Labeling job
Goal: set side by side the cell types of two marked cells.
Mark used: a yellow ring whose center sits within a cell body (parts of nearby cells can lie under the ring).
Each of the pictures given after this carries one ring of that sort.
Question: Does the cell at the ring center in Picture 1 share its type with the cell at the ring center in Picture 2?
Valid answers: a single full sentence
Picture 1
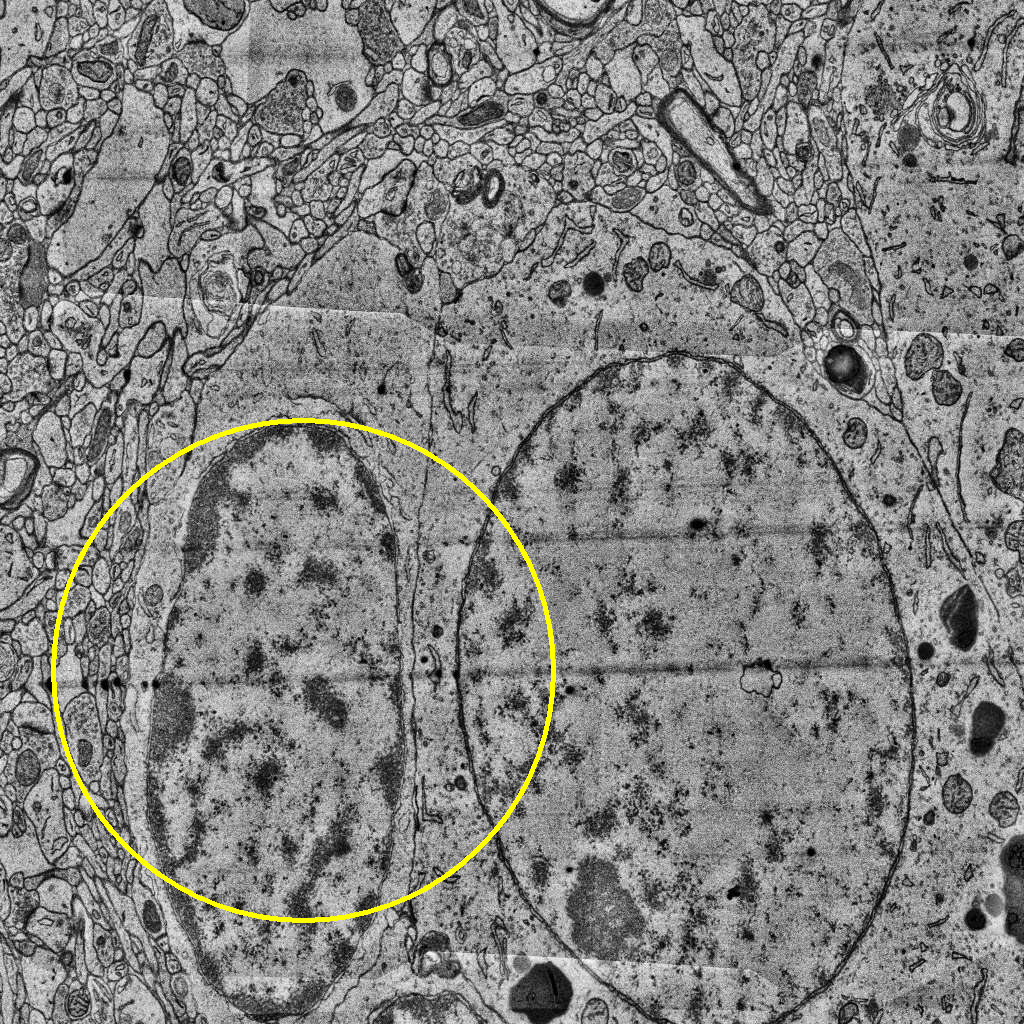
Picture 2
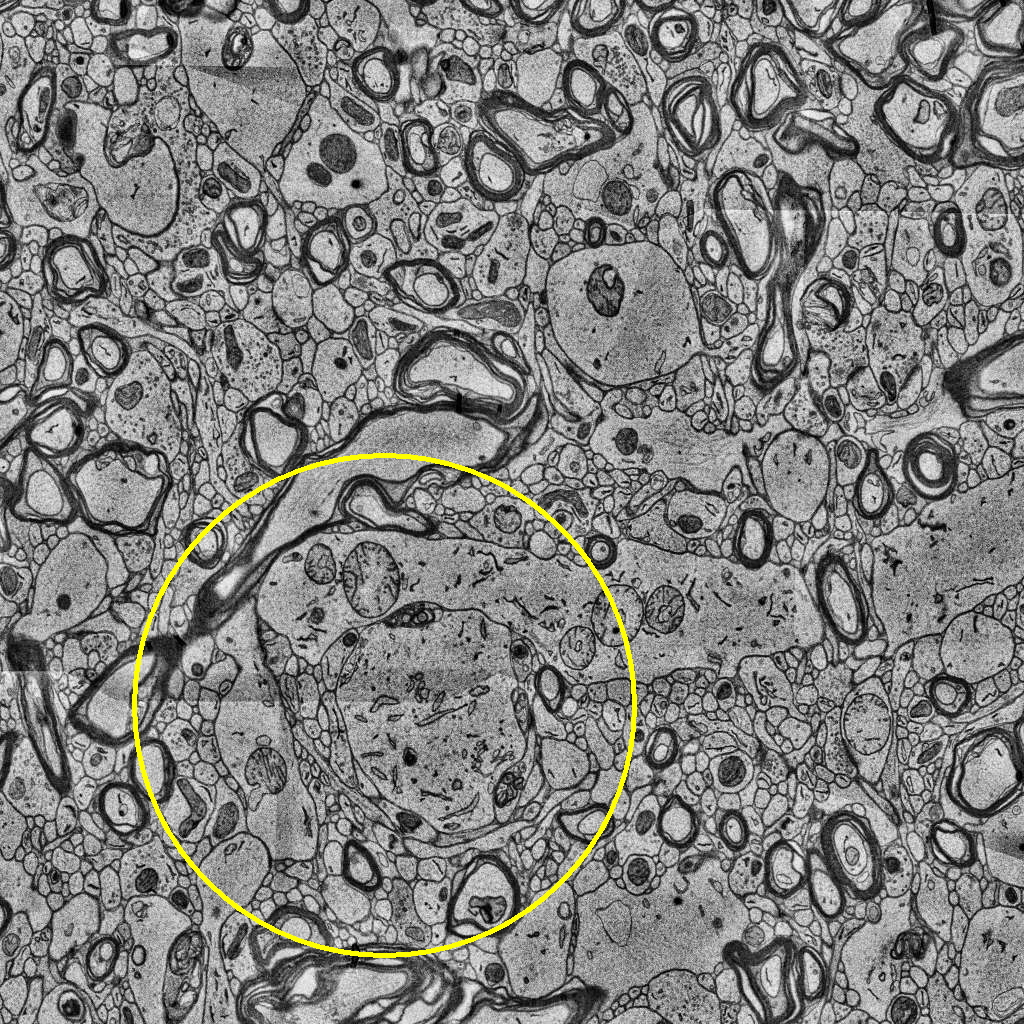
Yes, in Pictures 1 and 2 the cells at the ring centers share one type.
